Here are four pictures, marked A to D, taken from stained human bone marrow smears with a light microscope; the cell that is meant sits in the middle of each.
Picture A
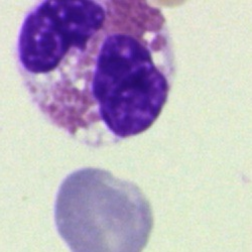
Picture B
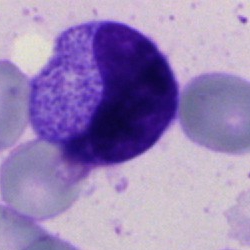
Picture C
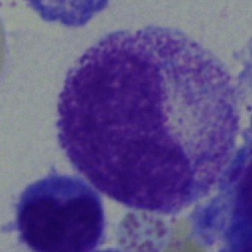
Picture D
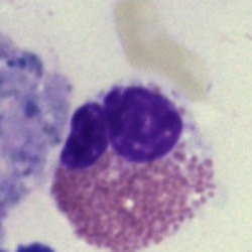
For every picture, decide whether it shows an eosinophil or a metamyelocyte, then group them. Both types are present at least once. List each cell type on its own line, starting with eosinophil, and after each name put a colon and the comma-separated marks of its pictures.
eosinophil: A, D
metamyelocyte: B, C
